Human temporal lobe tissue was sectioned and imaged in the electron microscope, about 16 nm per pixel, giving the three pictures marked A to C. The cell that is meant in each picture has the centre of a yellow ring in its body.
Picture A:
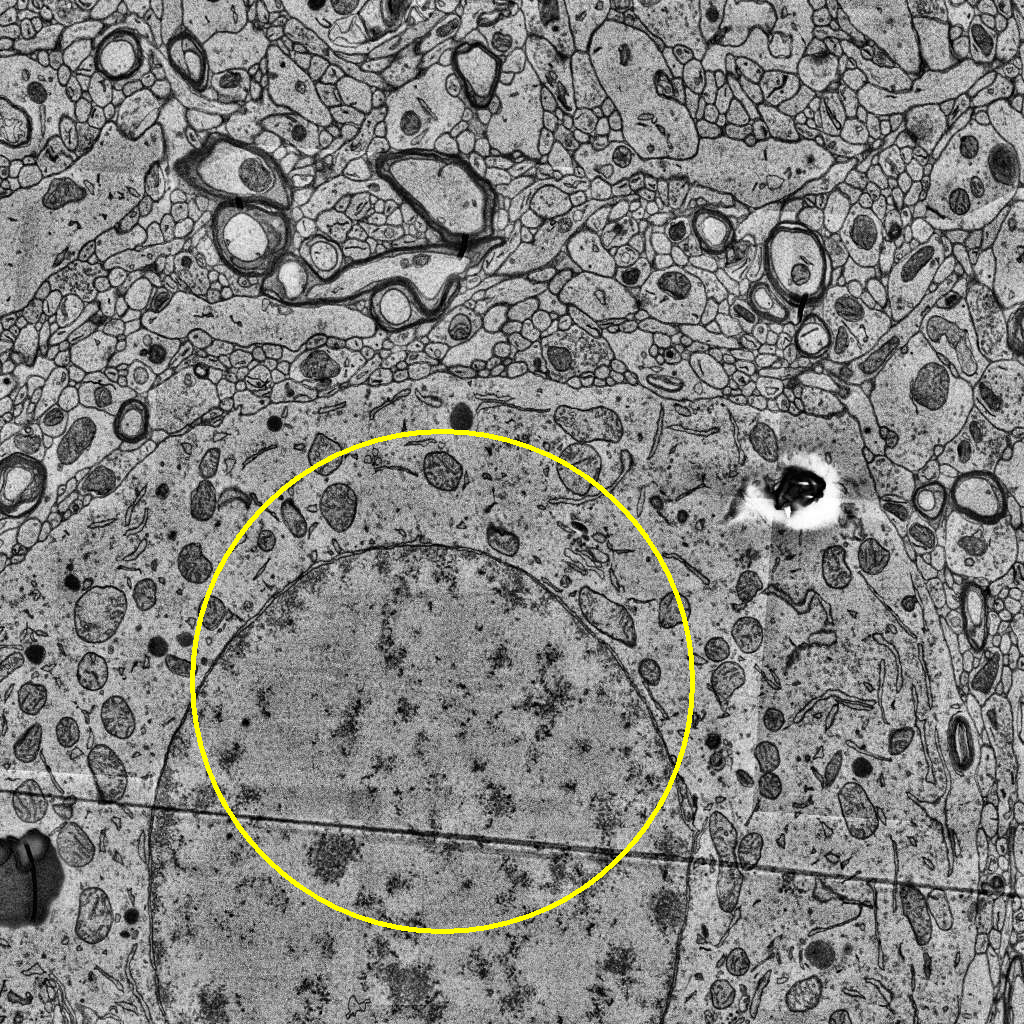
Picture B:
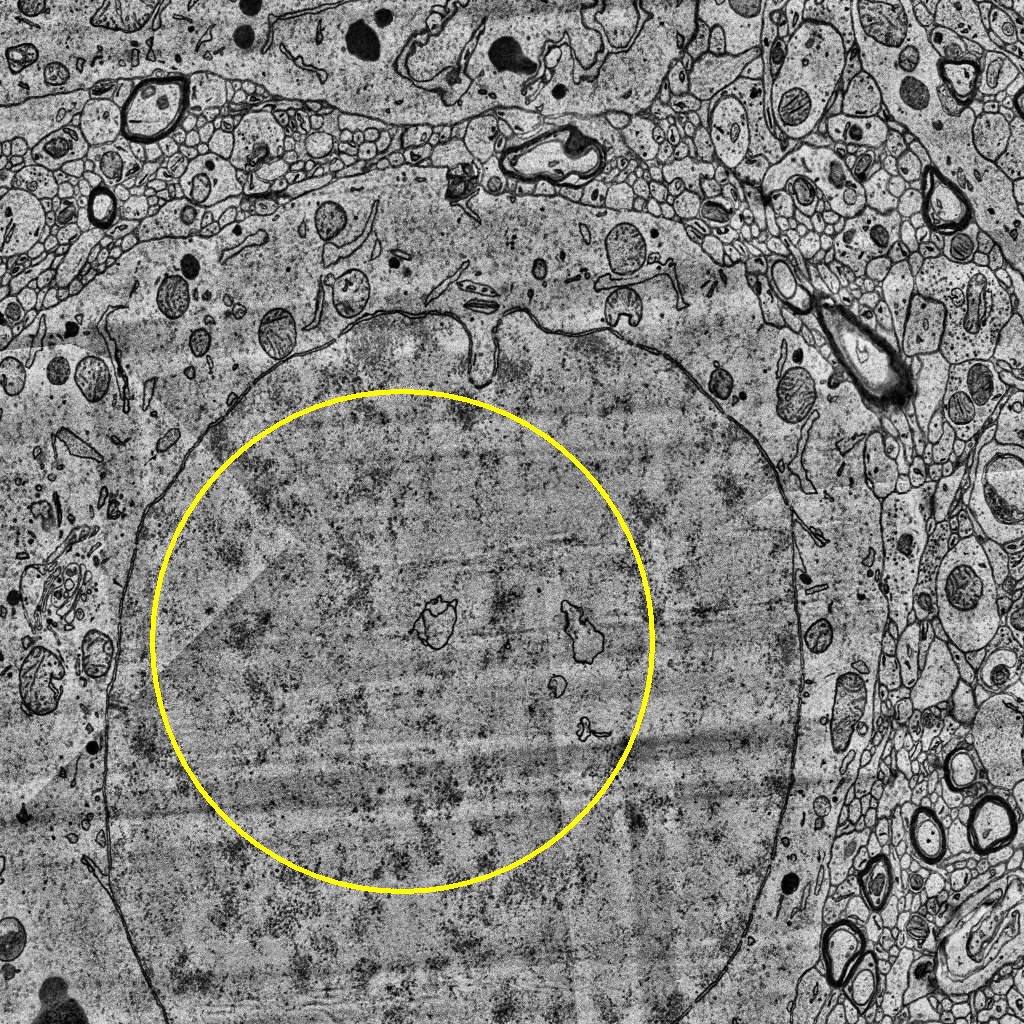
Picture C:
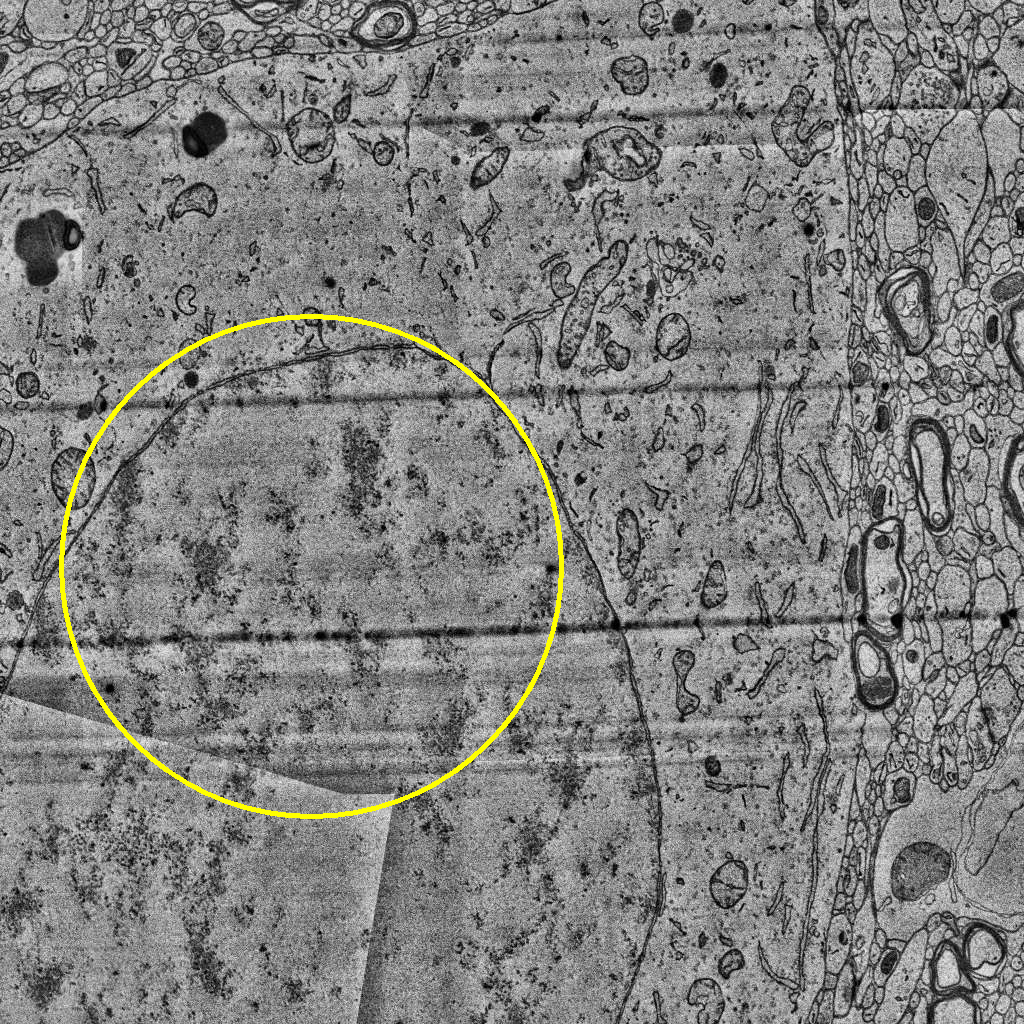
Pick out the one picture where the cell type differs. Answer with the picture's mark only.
A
